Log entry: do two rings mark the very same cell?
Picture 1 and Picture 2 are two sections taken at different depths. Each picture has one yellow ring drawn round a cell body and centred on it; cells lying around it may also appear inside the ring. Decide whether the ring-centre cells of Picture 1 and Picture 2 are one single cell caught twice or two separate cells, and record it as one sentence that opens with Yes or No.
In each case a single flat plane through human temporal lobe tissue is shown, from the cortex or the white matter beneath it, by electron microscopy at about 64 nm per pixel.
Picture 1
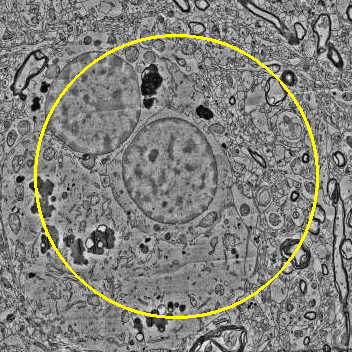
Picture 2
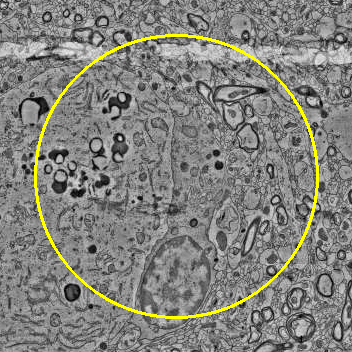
No, the two rings are not on the same cell.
